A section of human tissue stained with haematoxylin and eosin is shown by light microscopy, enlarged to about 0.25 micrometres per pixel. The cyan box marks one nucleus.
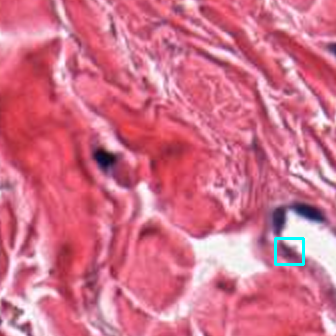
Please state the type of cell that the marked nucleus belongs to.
endothelial cell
